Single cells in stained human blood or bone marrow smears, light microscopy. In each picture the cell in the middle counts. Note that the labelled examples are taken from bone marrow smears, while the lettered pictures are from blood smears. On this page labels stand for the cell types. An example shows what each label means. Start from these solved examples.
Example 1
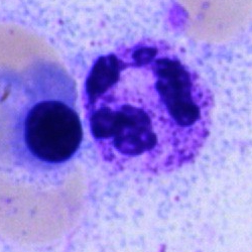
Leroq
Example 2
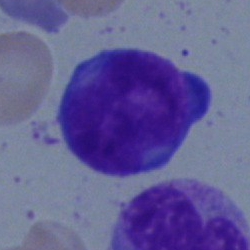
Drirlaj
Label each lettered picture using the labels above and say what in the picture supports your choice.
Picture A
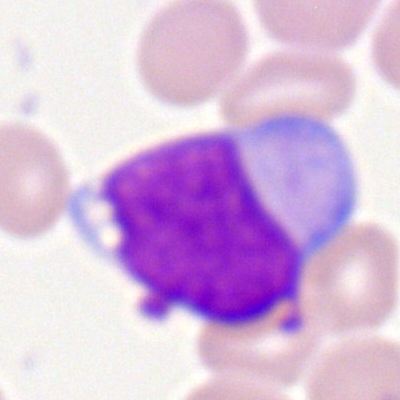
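Answer: Drirlaj. The nucleus fills most of the cell.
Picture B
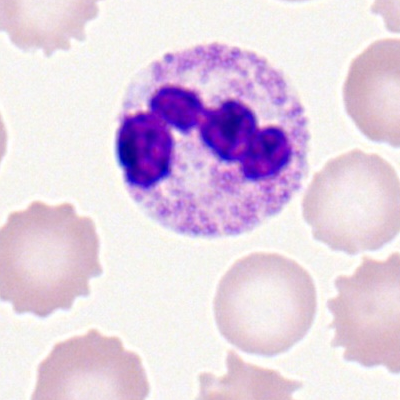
Answer: Leroq. The nucleus is divided into four lobes.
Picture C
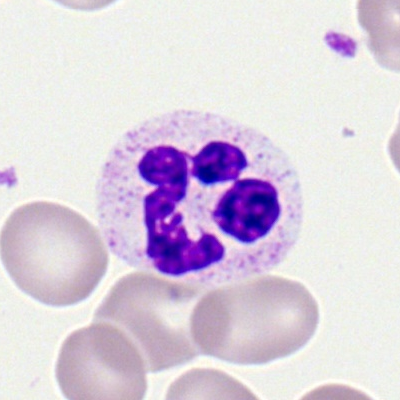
Answer: Leroq. The nucleus is divided into several separate lobes.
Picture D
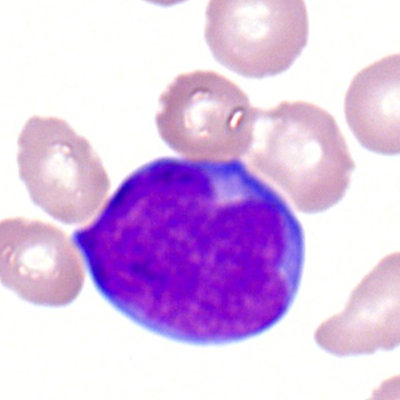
Answer: Drirlaj. The nucleus fills most of the cell.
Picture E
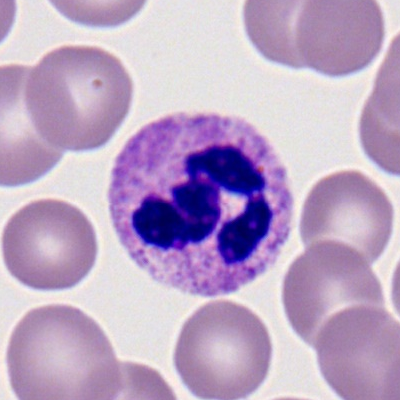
Answer: Leroq. The cytoplasm is plentiful and pale pinkish-lilac.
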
